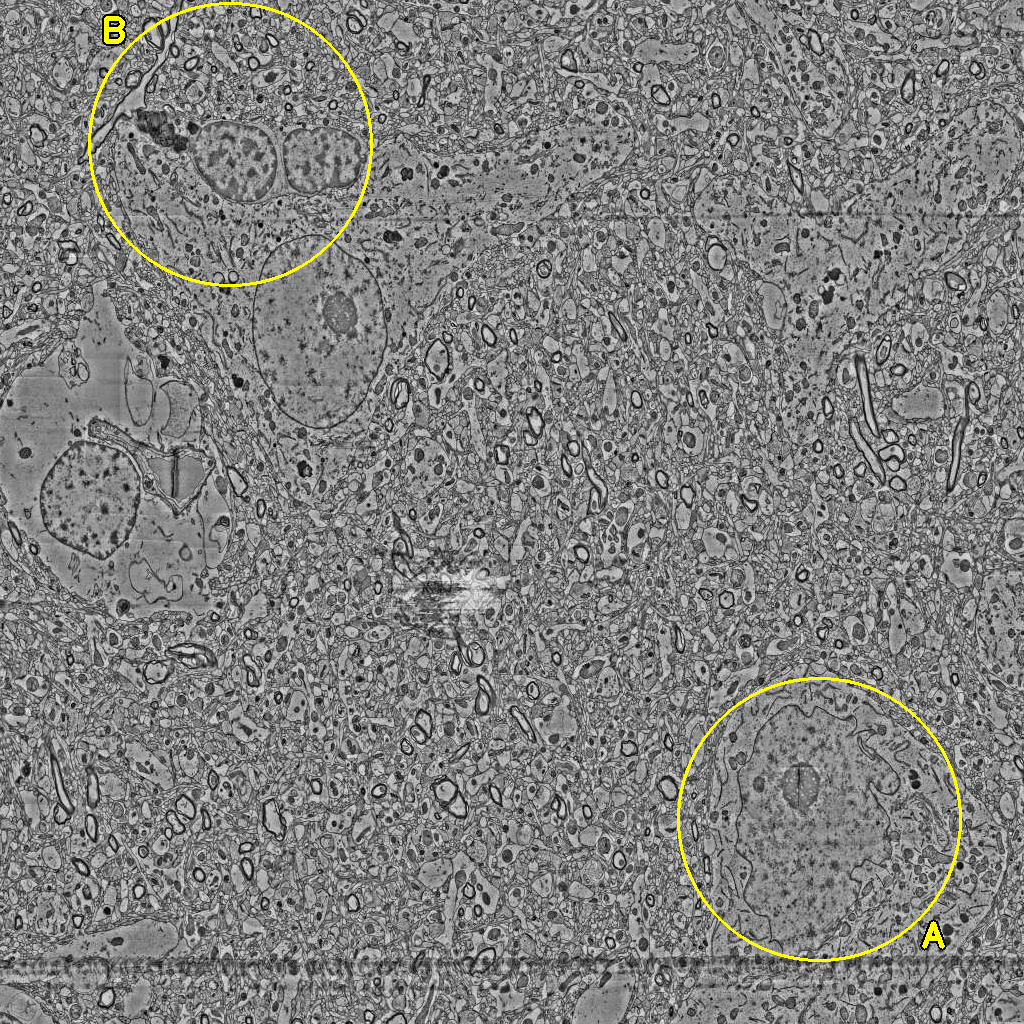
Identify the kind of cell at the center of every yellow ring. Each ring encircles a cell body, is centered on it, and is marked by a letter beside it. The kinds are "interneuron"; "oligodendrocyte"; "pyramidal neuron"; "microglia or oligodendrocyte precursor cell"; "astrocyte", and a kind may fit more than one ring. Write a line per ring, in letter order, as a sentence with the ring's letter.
The cell centered in ring A is an interneuron.
The cell centered in ring B is an oligodendrocyte.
